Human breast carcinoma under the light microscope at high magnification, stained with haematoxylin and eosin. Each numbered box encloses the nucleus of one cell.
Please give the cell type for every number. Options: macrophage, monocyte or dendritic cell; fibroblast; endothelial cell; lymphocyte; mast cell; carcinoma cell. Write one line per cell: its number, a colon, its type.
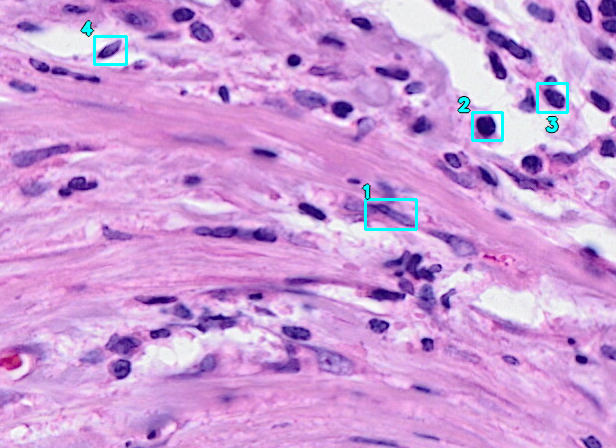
1: endothelial cell
2: lymphocyte
3: lymphocyte
4: lymphocyte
